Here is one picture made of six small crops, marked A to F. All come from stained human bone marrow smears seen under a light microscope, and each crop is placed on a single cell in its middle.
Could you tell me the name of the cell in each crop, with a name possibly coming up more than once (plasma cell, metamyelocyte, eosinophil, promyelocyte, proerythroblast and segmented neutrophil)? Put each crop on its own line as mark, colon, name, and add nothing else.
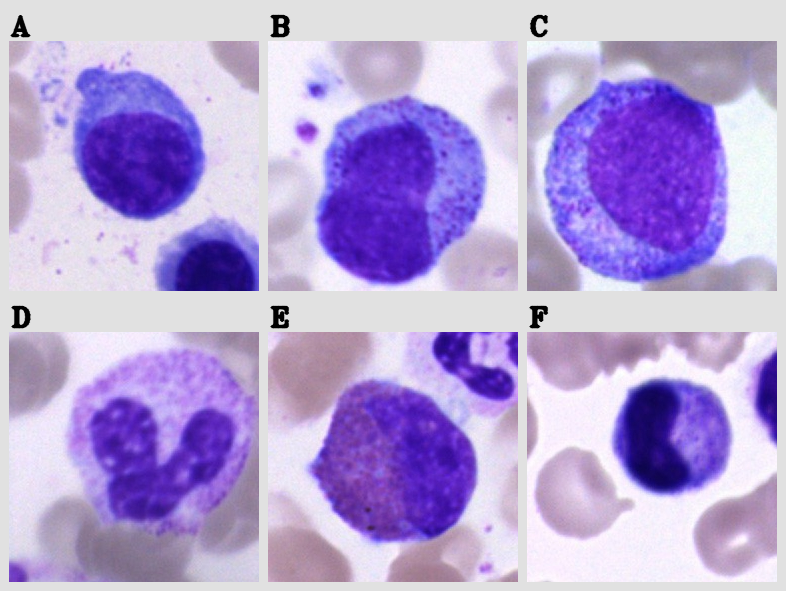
A: plasma cell
B: promyelocyte
C: promyelocyte
D: segmented neutrophil
E: eosinophil
F: metamyelocyte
